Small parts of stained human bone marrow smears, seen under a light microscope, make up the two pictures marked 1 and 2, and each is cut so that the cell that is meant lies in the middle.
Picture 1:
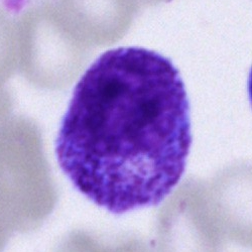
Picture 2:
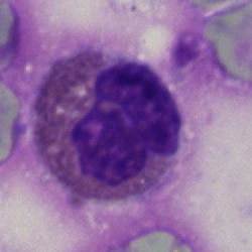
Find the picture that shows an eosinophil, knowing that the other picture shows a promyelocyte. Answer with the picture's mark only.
2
